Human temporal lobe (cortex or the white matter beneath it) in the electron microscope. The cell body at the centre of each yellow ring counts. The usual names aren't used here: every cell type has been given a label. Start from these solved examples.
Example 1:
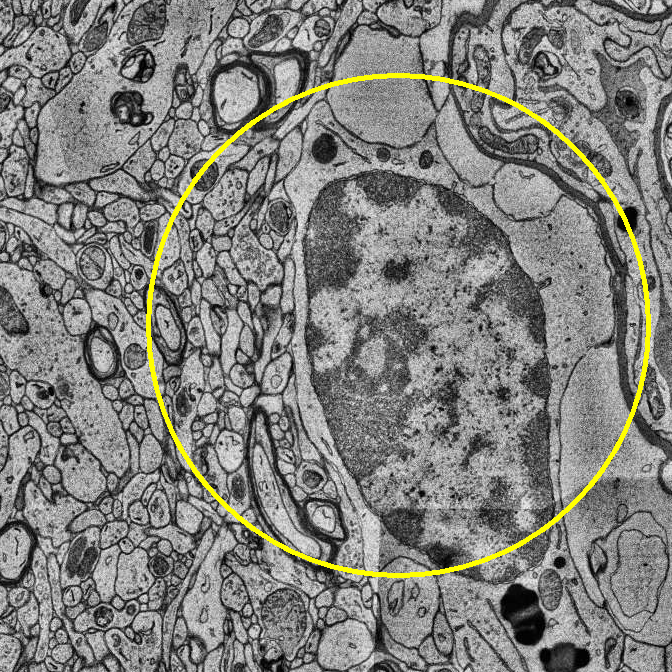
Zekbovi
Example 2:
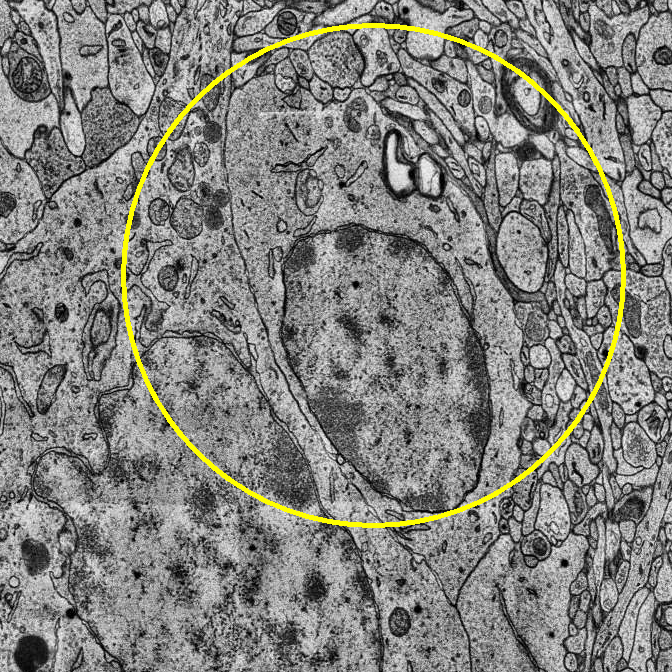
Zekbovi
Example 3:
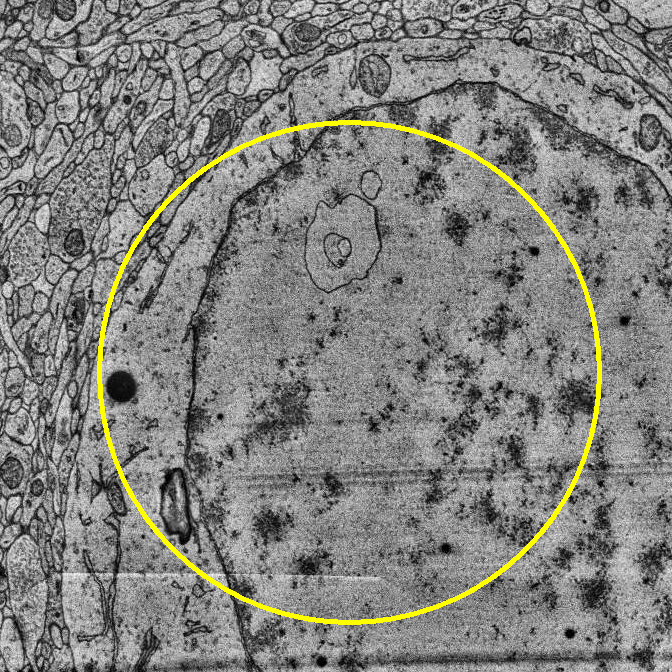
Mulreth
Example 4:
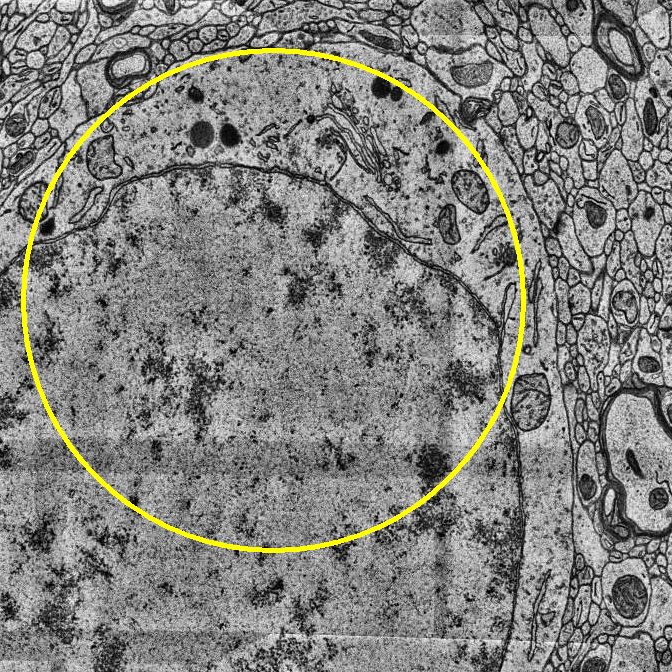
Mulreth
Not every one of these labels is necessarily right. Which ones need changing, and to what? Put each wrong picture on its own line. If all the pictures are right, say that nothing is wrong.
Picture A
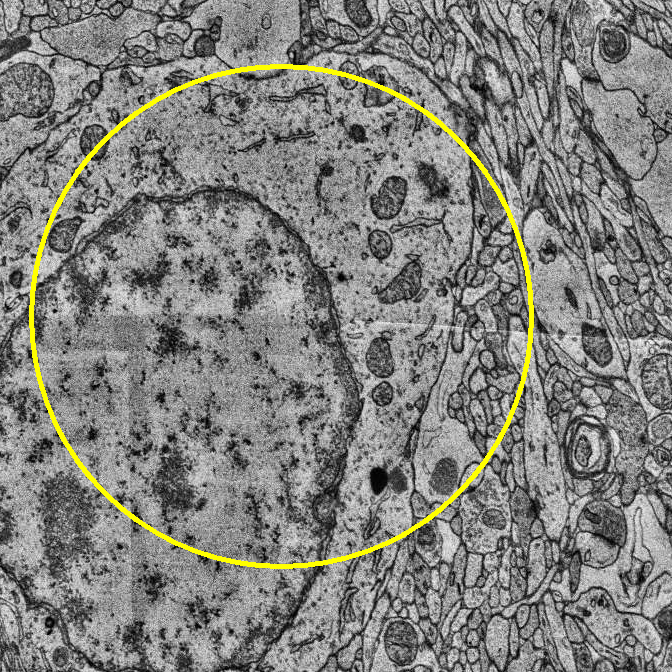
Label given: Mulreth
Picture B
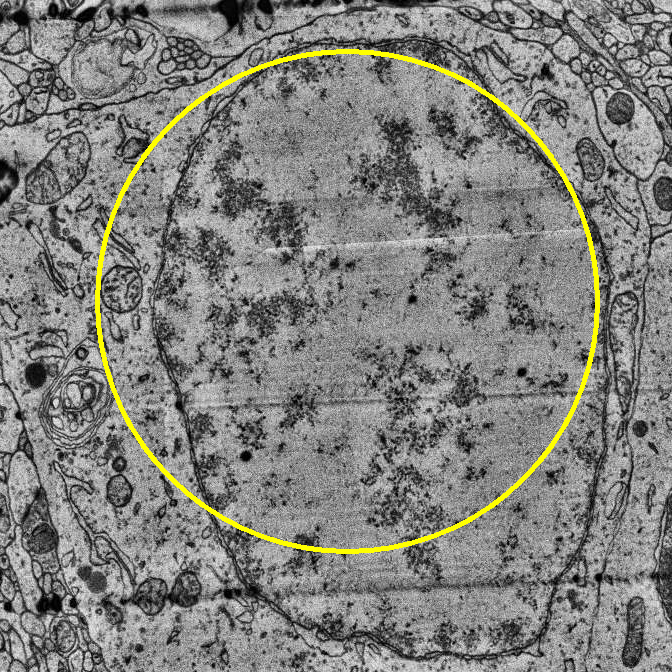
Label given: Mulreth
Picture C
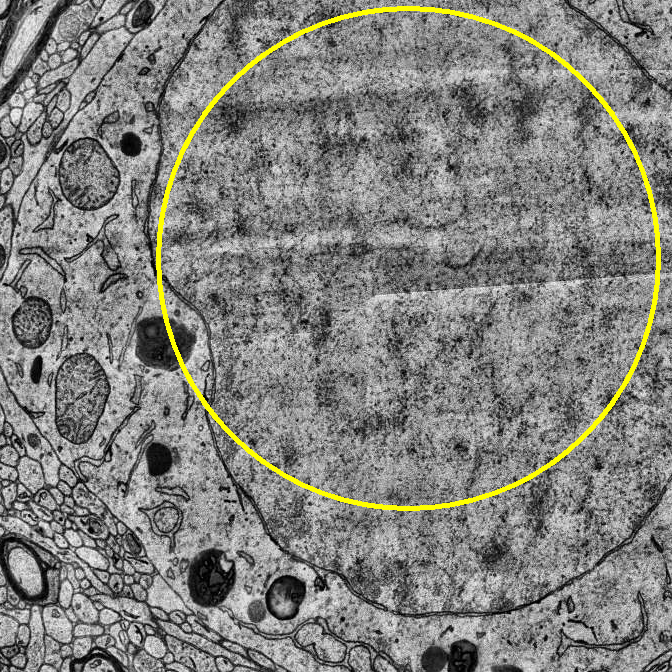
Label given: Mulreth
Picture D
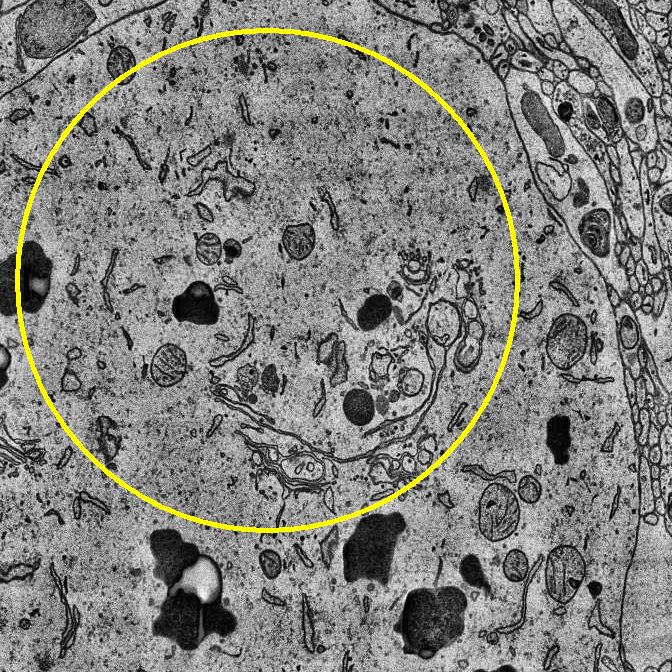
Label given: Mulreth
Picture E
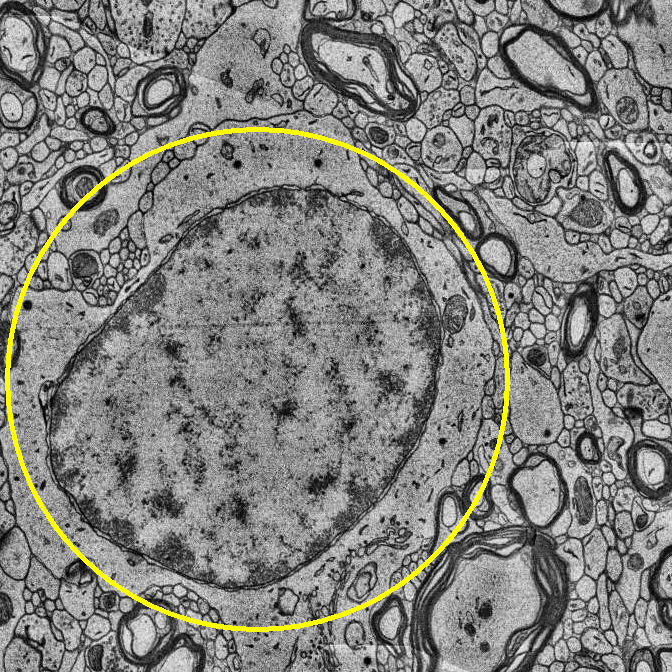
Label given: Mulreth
E: not Mulreth but Zekbovi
